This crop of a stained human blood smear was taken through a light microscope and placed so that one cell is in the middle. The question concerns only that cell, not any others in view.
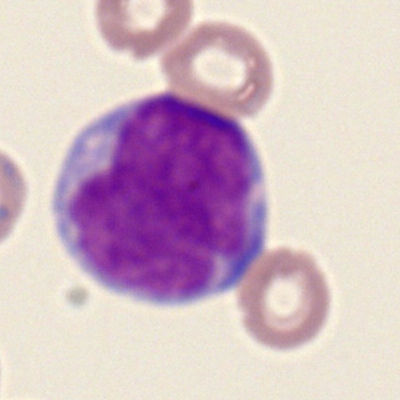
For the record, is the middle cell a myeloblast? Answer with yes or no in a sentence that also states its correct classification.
Yes, in this crop the cell in the middle is a myeloblast.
